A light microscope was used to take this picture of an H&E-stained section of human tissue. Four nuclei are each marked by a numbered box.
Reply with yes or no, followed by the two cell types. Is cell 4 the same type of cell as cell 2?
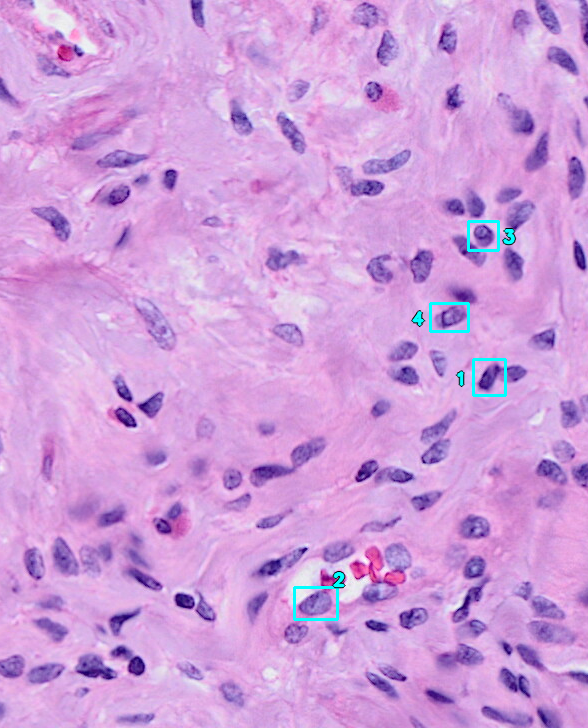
No, cell 4 is a fibroblast and cell 2 is an endothelial cell.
